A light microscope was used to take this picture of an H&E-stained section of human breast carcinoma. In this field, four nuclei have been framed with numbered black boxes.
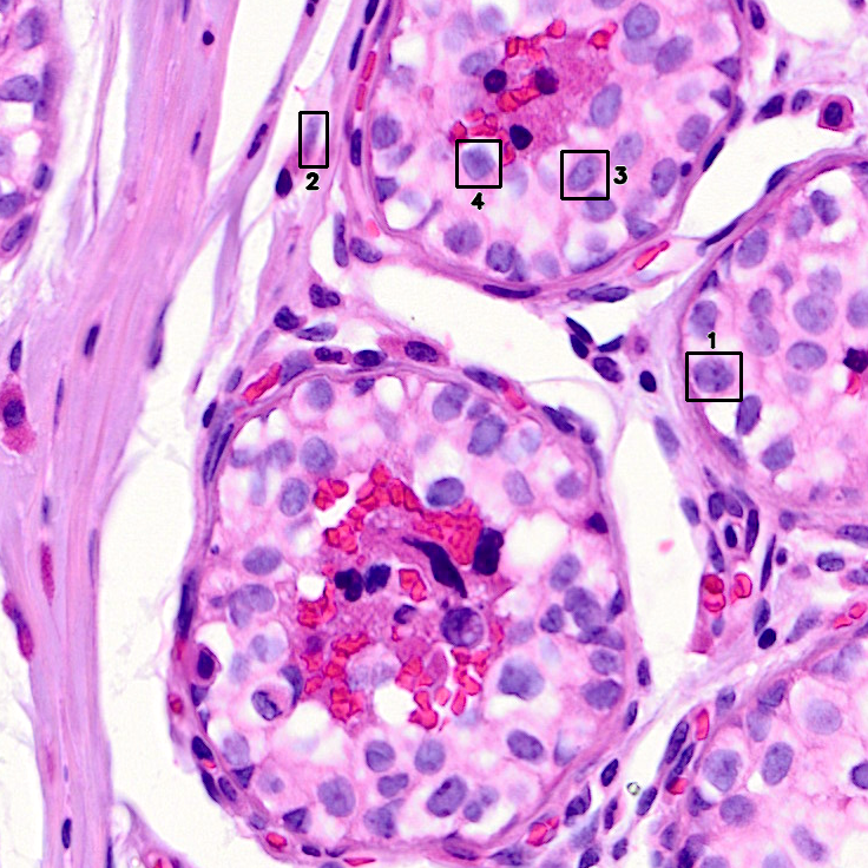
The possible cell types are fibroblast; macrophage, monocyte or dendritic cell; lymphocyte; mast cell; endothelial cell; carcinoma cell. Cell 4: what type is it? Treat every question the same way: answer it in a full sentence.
The correct answer for cell 4 is a carcinoma cell.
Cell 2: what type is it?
The cell given label 2 is a fibroblast.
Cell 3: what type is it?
What the number 3 marks in this field is a carcinoma cell.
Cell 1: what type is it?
Within this field of view, the cell labelled 1 is a carcinoma cell.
